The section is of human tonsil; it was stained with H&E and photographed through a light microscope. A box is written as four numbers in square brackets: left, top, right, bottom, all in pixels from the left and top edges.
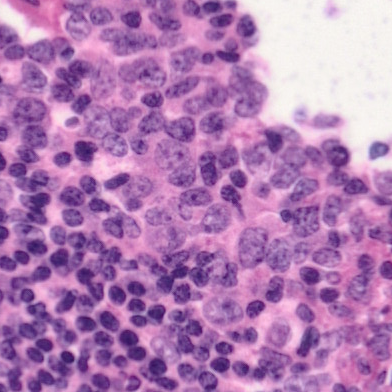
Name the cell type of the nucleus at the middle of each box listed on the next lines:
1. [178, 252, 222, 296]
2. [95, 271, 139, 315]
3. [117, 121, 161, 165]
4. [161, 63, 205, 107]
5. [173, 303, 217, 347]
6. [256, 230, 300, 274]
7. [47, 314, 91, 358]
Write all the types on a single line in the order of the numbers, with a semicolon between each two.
proliferating B cell; small lymphocyte; proliferating B cell; proliferating B cell; small lymphocyte; proliferating B cell; small lymphocyte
